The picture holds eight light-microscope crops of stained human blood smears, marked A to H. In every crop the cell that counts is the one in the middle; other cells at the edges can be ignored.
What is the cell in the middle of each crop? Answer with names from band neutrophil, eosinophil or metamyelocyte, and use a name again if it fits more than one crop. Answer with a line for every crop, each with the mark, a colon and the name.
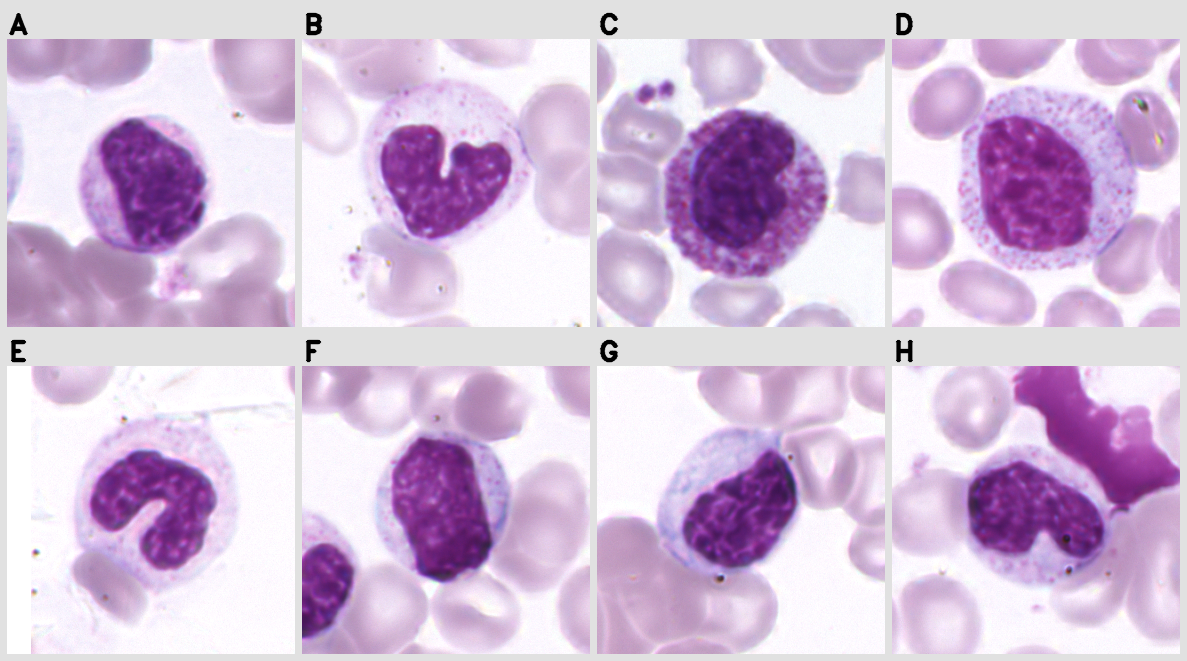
A: metamyelocyte
B: band neutrophil
C: eosinophil
D: metamyelocyte
E: band neutrophil
F: metamyelocyte
G: metamyelocyte
H: band neutrophil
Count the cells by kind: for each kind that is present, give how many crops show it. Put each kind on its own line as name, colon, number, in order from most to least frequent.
metamyelocyte: 4
band neutrophil: 3
eosinophil: 1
